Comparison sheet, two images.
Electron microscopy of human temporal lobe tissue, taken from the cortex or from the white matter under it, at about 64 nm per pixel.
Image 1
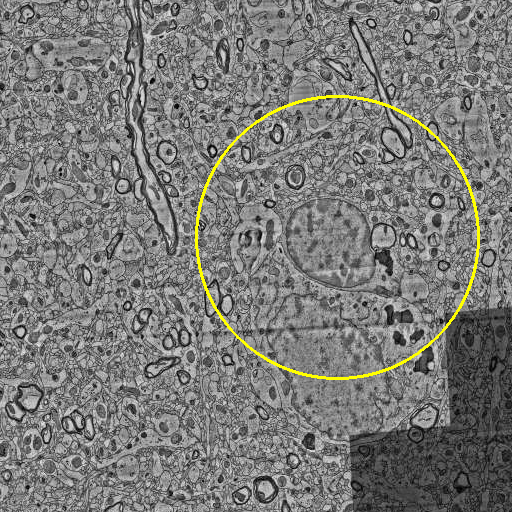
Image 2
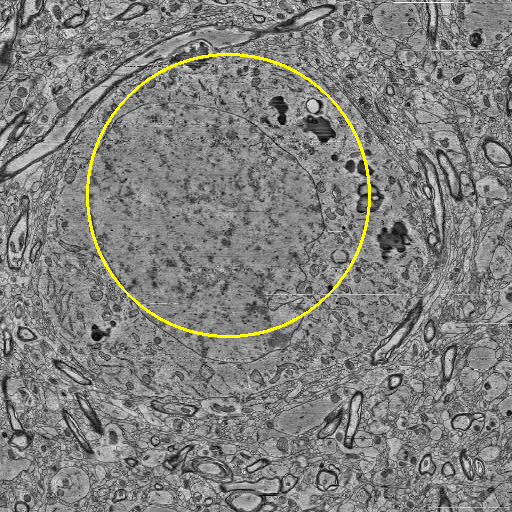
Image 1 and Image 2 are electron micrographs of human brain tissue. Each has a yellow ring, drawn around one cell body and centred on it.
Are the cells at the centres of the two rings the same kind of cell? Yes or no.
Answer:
no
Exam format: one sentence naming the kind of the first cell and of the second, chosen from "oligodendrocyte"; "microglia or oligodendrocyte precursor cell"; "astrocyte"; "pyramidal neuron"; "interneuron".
The first picture's cell is an oligodendrocyte, and the second picture's cell is a pyramidal neuron.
